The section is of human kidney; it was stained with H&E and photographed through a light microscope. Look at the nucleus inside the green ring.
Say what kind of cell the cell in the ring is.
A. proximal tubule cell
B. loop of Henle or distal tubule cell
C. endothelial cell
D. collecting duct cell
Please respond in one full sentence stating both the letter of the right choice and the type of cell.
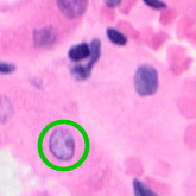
The choice that fits is option A, as the cell in the ring is a proximal tubule cell.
